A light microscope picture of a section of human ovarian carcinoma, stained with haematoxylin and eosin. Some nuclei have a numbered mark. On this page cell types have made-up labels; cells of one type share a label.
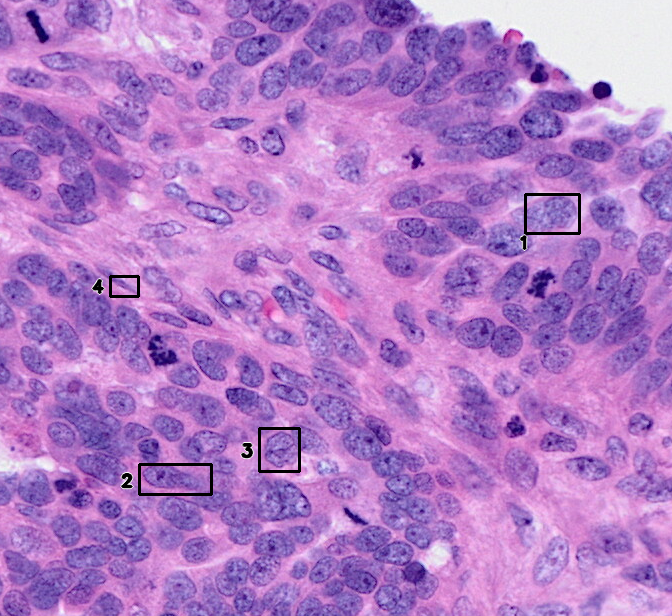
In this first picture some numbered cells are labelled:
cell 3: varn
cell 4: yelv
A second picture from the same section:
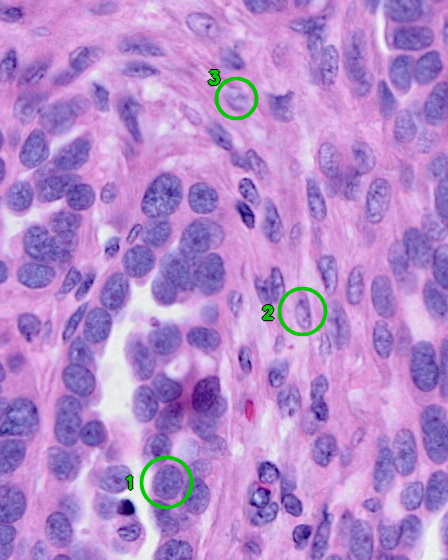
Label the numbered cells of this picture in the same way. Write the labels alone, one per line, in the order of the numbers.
varn
yelv
yelv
